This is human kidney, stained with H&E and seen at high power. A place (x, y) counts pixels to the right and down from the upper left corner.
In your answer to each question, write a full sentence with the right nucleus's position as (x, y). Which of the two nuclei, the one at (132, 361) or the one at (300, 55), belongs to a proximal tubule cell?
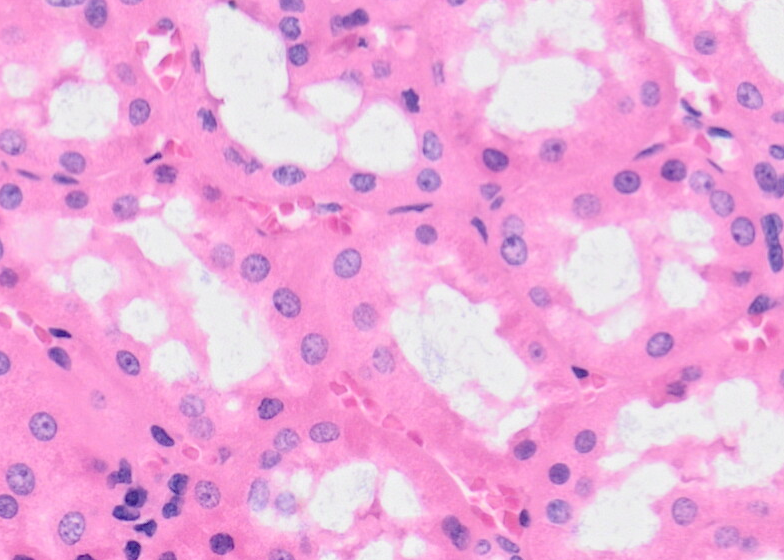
In this pair, the nucleus at (132, 361) belongs to a proximal tubule cell.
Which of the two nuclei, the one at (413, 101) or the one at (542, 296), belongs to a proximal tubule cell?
That would be the nucleus at (542, 296); it belongs to a proximal tubule cell.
